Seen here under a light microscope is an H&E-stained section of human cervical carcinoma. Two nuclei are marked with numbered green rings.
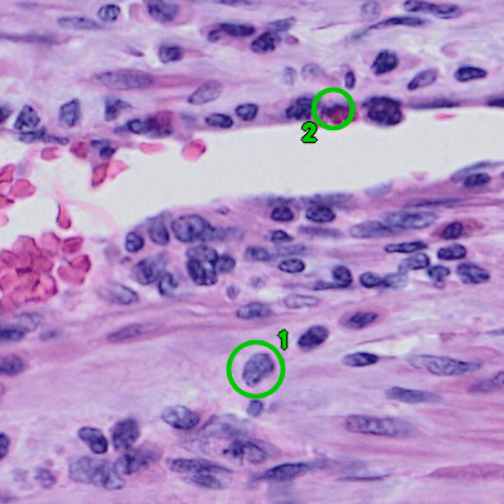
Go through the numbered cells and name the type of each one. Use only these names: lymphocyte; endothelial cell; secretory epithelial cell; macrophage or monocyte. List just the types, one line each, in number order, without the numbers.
lymphocyte
endothelial cell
